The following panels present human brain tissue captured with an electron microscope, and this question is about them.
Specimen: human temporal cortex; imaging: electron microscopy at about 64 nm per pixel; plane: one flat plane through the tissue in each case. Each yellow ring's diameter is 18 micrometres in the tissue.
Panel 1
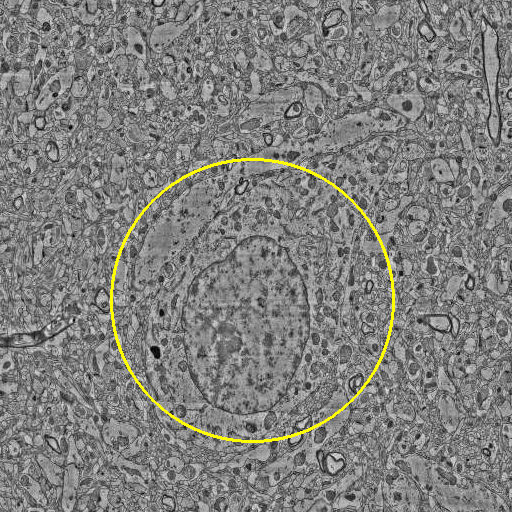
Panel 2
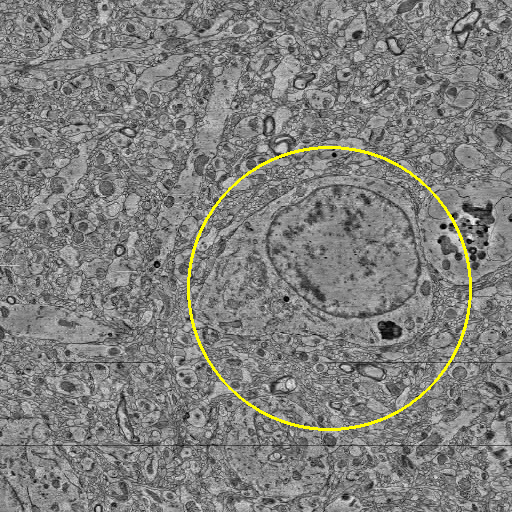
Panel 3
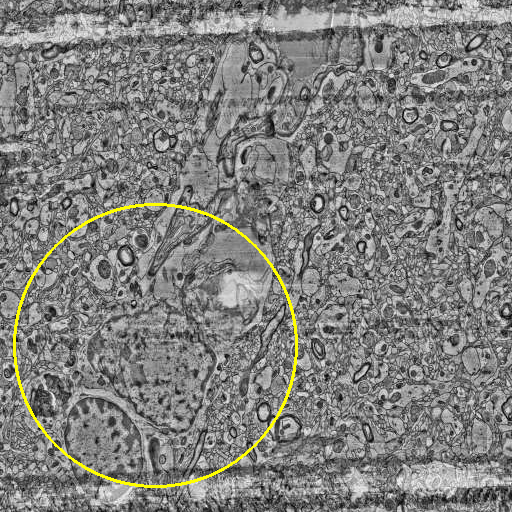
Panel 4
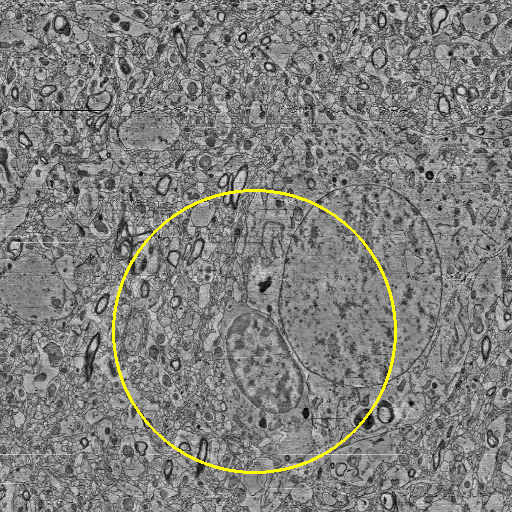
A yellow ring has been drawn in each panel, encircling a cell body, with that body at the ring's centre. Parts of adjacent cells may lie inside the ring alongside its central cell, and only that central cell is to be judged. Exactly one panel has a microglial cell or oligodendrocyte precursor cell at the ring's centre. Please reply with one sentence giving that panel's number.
The ring whose central cell fits the description is the one in panel 3.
